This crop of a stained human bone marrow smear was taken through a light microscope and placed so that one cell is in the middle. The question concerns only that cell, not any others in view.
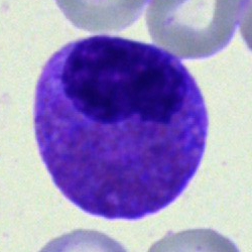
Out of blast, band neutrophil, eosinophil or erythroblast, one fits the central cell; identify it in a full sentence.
This crop's central cell is an eosinophil.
